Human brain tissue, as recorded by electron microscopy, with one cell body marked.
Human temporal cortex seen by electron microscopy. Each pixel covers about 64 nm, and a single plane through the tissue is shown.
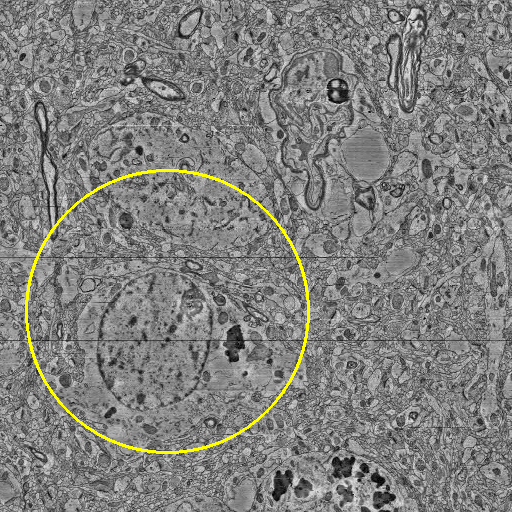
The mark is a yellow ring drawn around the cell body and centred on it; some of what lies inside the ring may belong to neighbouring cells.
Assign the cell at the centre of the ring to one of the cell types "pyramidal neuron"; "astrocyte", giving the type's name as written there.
astrocyte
